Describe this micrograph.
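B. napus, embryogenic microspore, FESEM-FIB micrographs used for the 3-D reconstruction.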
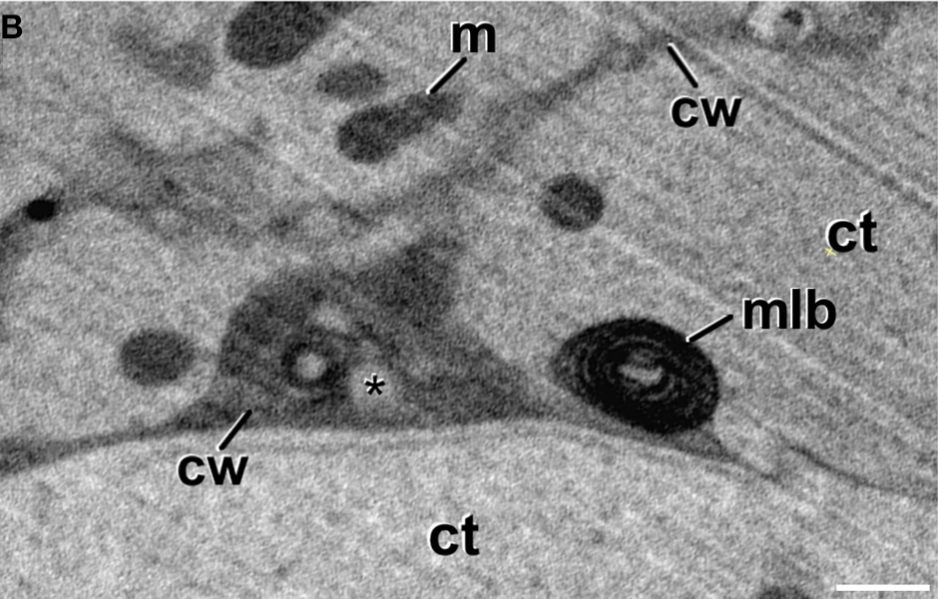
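A newly formed cell wall runs between neighbouring areas of cytoplasm, widening into a pocket of dense, dark grey material. Within this wall region a multilamellar body made of tightly wound, concentric dark lamellae lies apart from smaller rounded vesicular bodies, one showing a small ring-shaped profile. Dark oval mitochondrial profiles are seen in the cytoplasm above.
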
